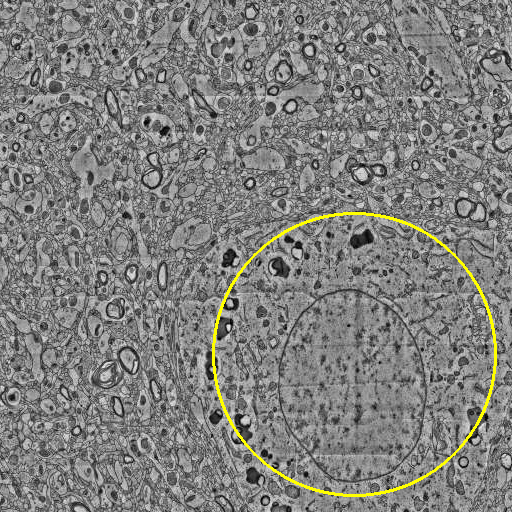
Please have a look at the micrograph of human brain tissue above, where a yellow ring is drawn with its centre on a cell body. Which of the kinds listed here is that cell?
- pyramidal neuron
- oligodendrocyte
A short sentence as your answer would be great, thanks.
At the centre of the ring sits a pyramidal neuron.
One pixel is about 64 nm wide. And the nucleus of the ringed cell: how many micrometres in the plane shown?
The ringed cell's nucleus measures approximately 12 by 9 micrometres in this plane.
